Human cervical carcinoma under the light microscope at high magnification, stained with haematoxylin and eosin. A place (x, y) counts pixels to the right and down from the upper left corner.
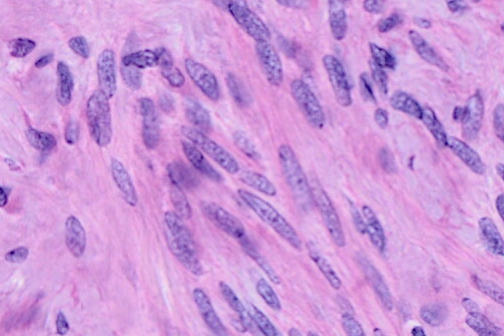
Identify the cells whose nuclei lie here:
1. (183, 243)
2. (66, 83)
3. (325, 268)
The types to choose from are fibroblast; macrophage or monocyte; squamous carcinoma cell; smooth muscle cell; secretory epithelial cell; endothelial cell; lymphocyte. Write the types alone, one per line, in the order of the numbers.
smooth muscle cell
fibroblast
smooth muscle cell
